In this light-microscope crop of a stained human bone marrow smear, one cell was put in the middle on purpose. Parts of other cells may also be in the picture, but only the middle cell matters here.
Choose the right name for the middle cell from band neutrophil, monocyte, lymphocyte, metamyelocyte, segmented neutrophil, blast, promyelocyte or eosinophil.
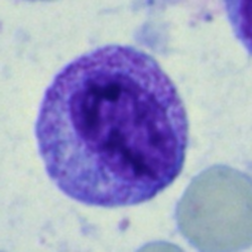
promyelocyte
